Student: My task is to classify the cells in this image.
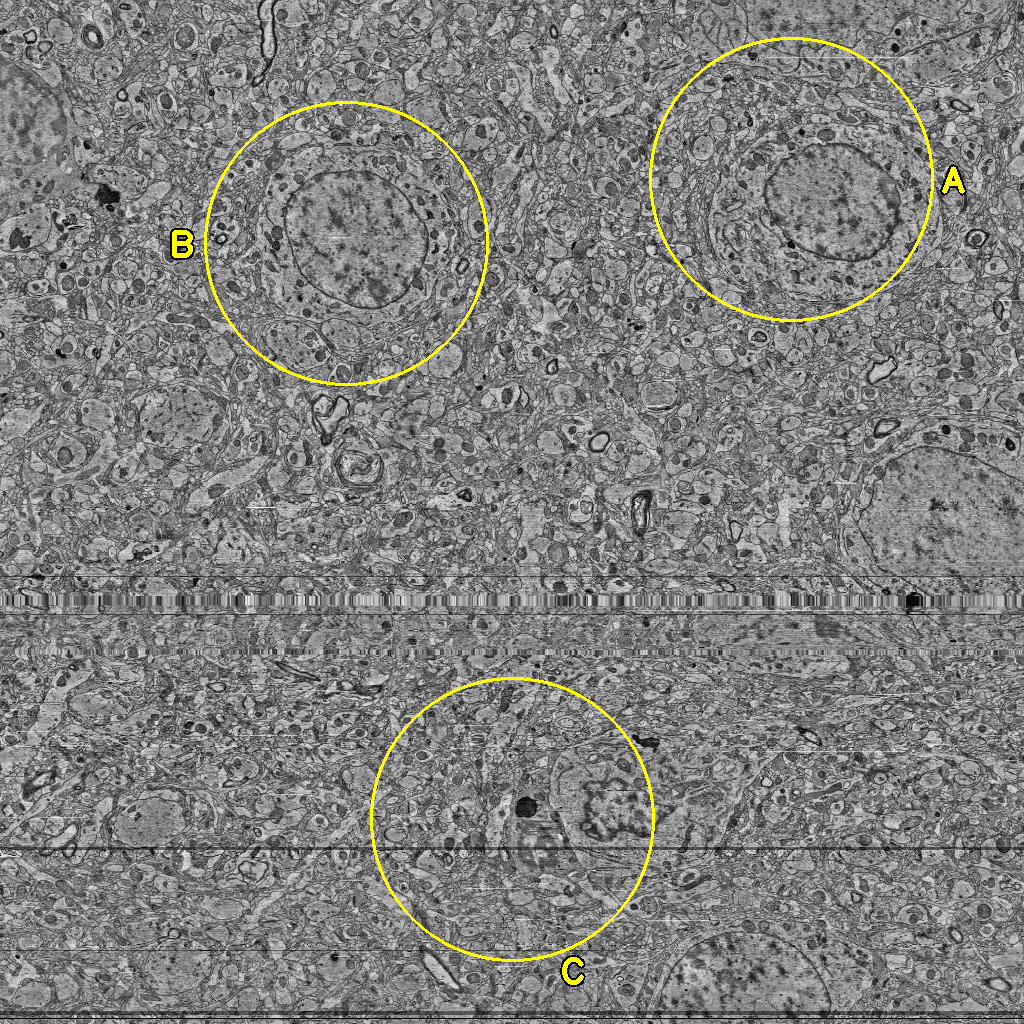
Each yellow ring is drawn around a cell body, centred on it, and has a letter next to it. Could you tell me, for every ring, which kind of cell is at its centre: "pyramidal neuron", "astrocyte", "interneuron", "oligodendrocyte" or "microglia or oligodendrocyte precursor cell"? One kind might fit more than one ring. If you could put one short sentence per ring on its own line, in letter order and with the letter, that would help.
Ring A's central cell is a pyramidal neuron.
Ring B's central cell is a pyramidal neuron.
Ring C's central cell is an oligodendrocyte.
